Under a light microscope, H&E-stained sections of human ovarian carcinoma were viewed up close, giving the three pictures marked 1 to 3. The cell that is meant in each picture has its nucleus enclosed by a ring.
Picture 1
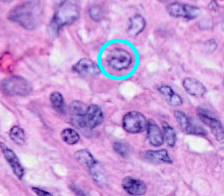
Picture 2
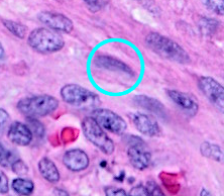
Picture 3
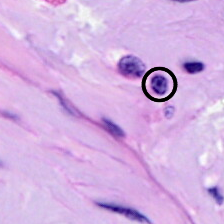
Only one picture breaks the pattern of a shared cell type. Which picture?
3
